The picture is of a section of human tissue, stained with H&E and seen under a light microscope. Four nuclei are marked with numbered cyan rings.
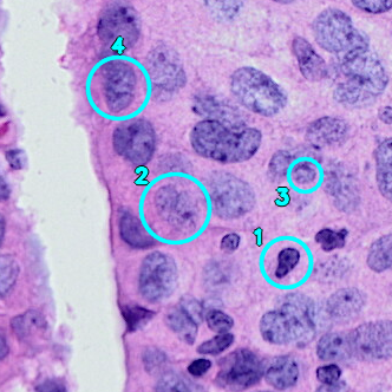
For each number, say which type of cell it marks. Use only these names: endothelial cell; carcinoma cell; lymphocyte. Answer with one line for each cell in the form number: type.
1: lymphocyte
2: carcinoma cell
3: carcinoma cell
4: carcinoma cell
